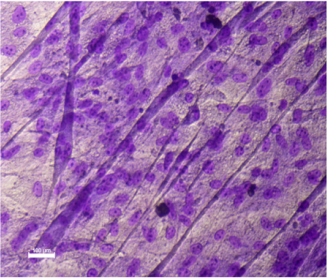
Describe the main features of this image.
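Dense culture of fusing myoblasts with scattered myotubes, stained purple. Most cells are flat and mononucleated, with oval, darkly purple nuclei and pale lilac cytoplasm spread over a yellowish background. Crossing the field diagonally are long, slender, tapering cells with more intensely stained cytoplasm; several of them contain multiple nuclei lined up along their length. These elongated cells lie roughly parallel to one another and run over the mononucleated cells. A few small, very dark, rounded bodies are scattered among the cells.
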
